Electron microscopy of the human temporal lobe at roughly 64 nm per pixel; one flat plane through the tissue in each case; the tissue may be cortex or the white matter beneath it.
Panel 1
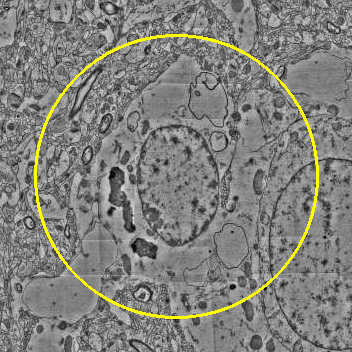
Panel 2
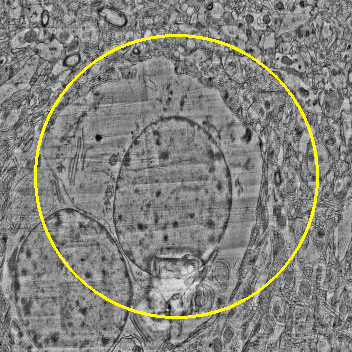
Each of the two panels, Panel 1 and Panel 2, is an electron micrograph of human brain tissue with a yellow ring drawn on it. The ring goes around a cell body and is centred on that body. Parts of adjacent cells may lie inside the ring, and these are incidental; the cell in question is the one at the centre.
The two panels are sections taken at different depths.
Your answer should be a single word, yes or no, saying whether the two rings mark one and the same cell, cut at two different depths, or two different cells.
no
